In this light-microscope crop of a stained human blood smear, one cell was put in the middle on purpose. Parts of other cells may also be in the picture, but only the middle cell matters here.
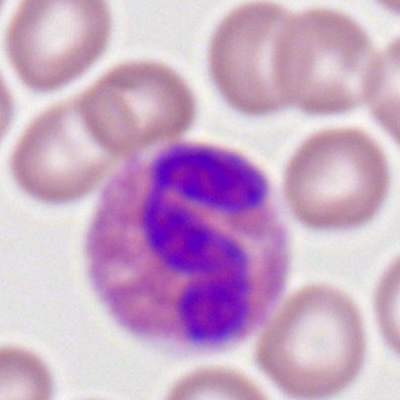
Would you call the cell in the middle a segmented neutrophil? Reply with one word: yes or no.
no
